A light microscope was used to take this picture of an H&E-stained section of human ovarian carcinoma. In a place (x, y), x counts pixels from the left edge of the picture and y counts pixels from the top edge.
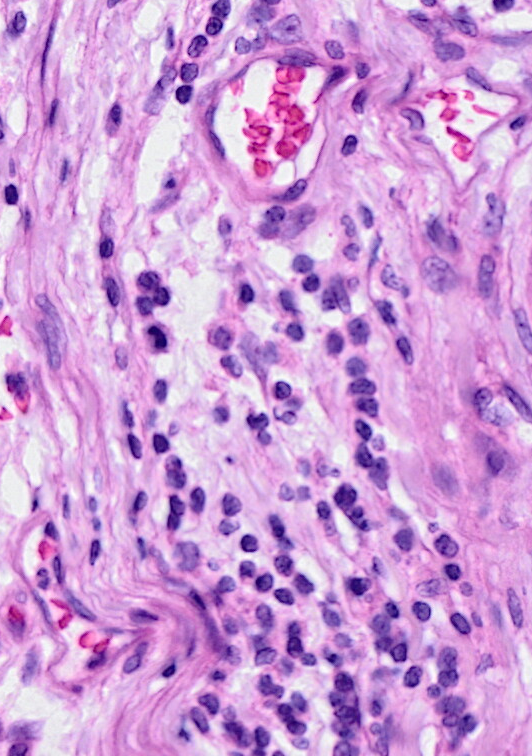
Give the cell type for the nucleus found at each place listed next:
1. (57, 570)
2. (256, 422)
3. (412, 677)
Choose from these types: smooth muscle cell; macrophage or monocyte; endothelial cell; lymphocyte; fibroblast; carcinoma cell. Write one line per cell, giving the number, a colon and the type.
1: endothelial cell
2: lymphocyte
3: lymphocyte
